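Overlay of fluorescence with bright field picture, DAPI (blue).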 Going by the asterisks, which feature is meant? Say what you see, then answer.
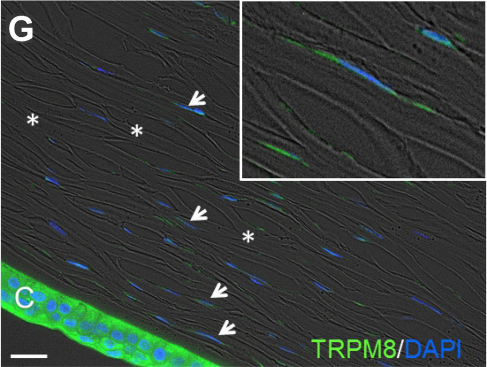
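Asterisks lie on bands of wavy, parallel grey lines in the bright field image. These bands run between sparse elongated nuclei. So: collagen fibrils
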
